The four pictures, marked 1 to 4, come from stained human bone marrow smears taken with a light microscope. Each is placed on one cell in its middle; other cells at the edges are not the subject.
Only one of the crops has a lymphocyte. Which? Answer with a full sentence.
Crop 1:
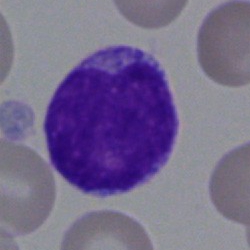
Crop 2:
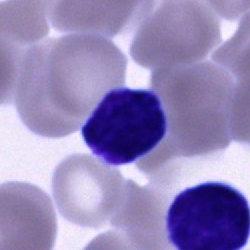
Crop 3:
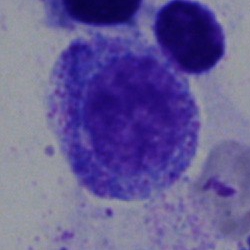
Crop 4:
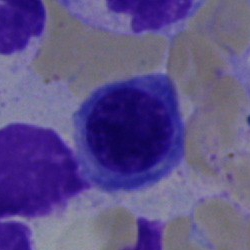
The crop carrying a lymphocyte at the center is crop 2.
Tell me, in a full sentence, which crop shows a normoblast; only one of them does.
Crop 4 is the crop whose central cell is a normoblast.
